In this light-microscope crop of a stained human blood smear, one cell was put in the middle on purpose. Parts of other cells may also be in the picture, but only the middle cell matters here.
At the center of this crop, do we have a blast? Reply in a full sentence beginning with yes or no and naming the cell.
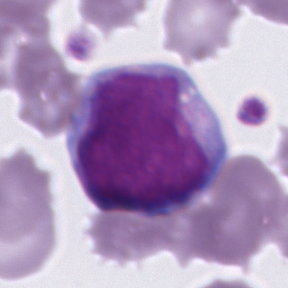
Yes, the cell at the centre of this crop is identified as a blast.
